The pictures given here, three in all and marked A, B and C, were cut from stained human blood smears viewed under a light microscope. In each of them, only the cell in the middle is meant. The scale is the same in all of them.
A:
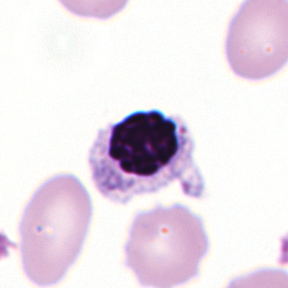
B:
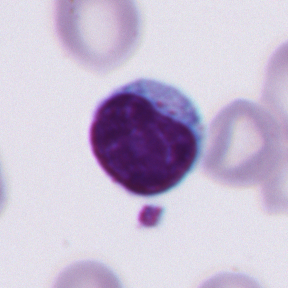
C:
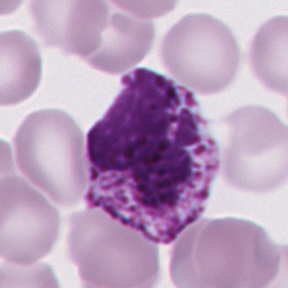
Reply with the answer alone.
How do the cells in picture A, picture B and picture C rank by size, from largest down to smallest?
C, B, A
